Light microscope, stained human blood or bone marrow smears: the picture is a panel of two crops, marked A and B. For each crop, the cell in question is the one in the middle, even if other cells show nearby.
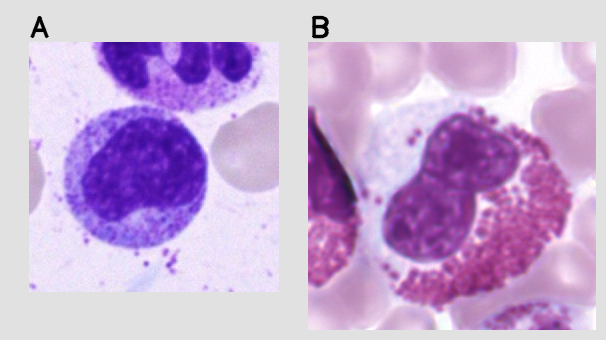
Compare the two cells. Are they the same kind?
no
